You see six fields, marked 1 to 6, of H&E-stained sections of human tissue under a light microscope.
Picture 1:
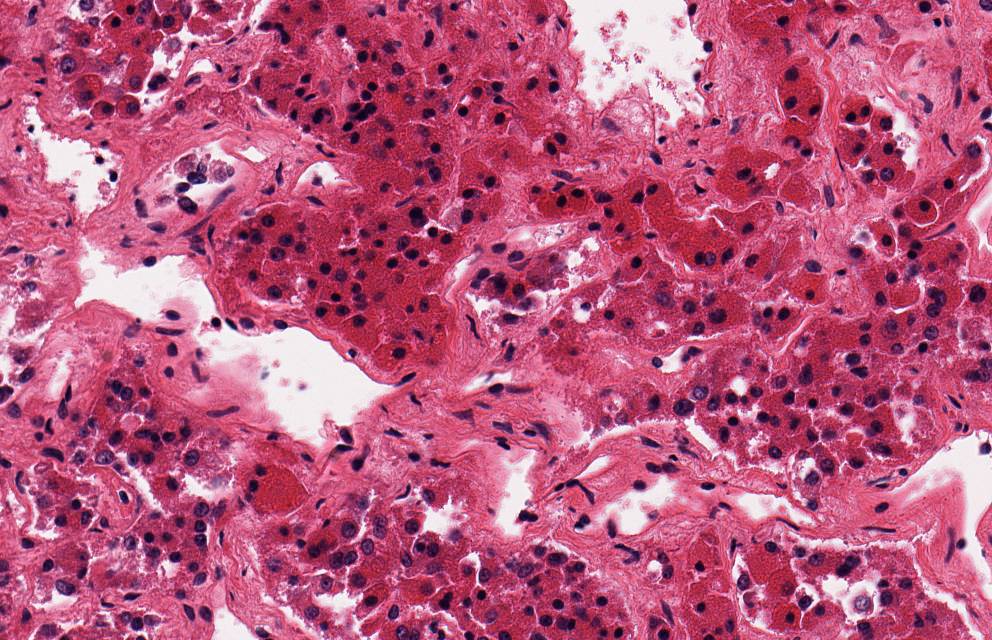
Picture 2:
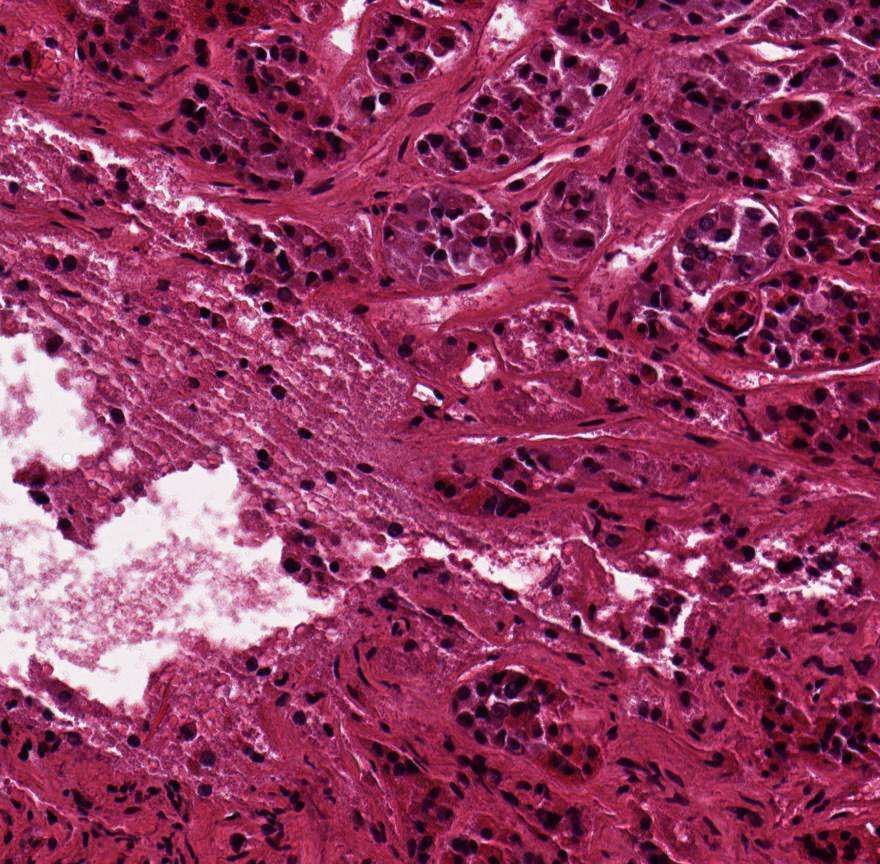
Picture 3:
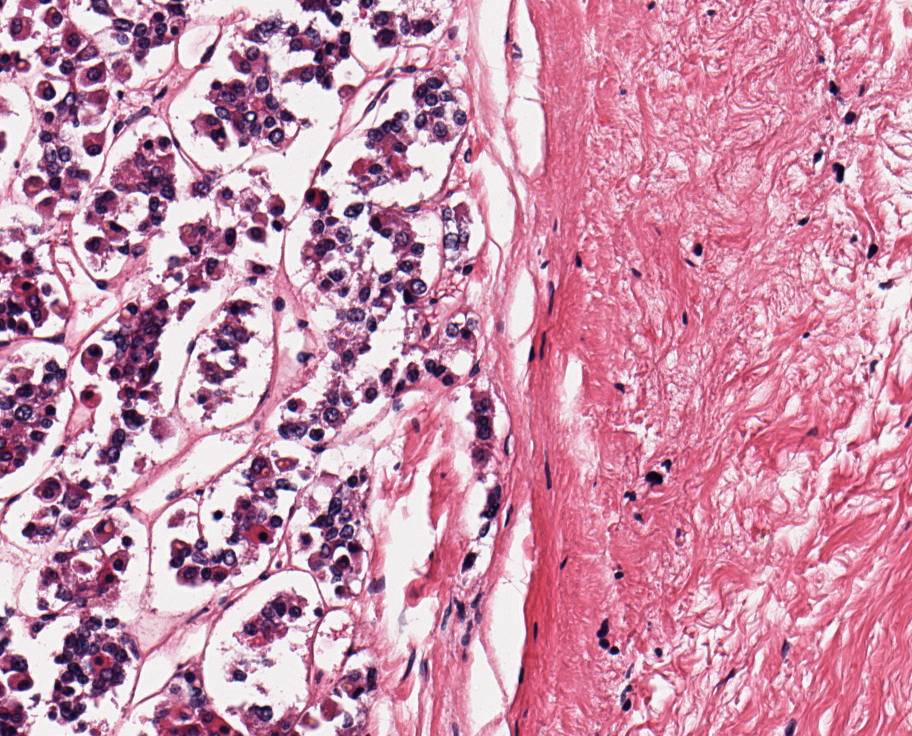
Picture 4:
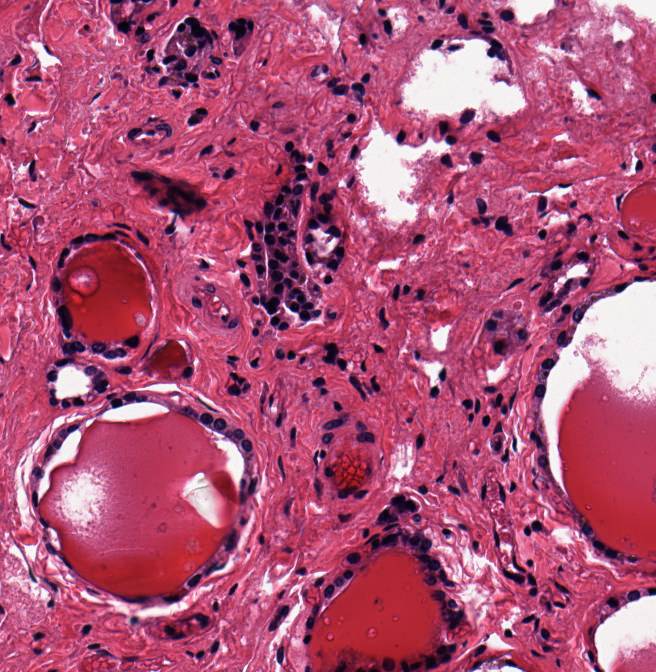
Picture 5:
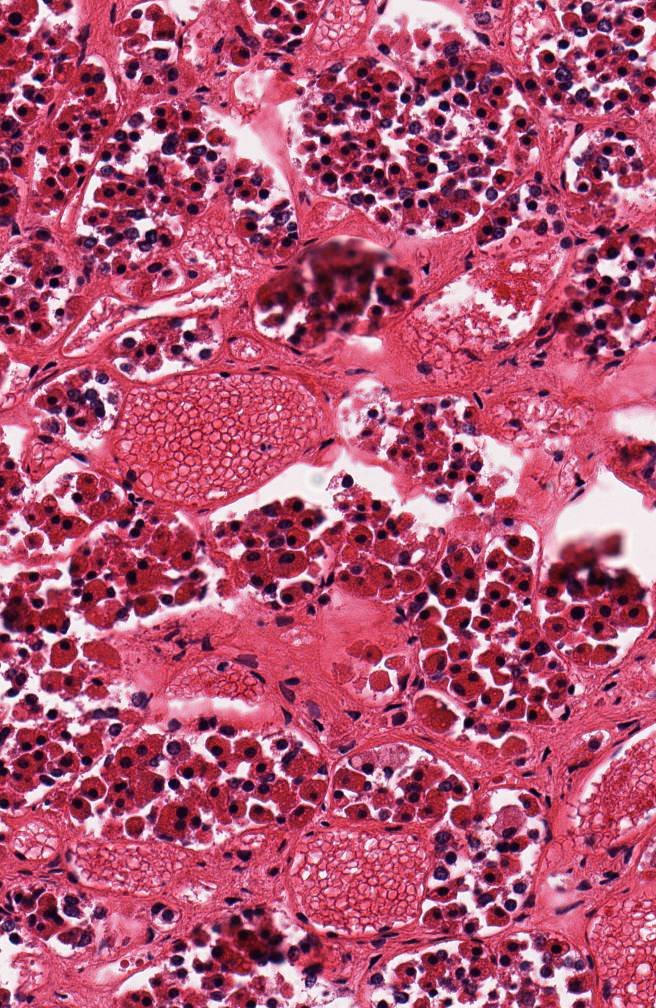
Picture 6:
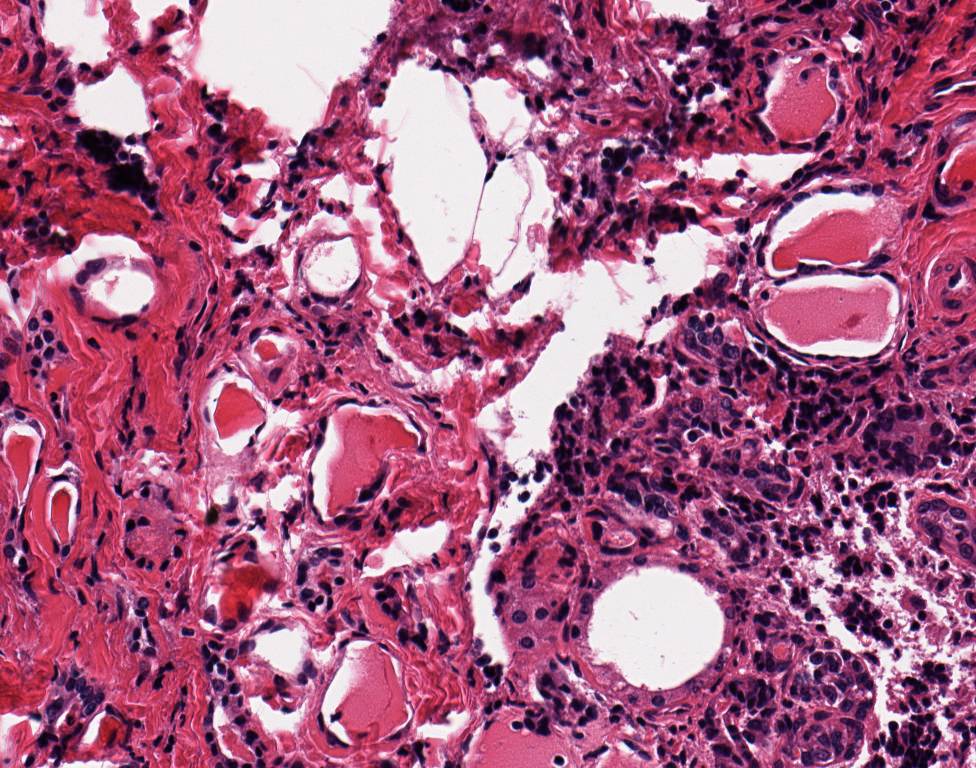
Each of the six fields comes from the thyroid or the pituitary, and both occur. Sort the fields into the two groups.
1: pituitary
2: pituitary
3: pituitary
4: thyroid
5: pituitary
6: thyroid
